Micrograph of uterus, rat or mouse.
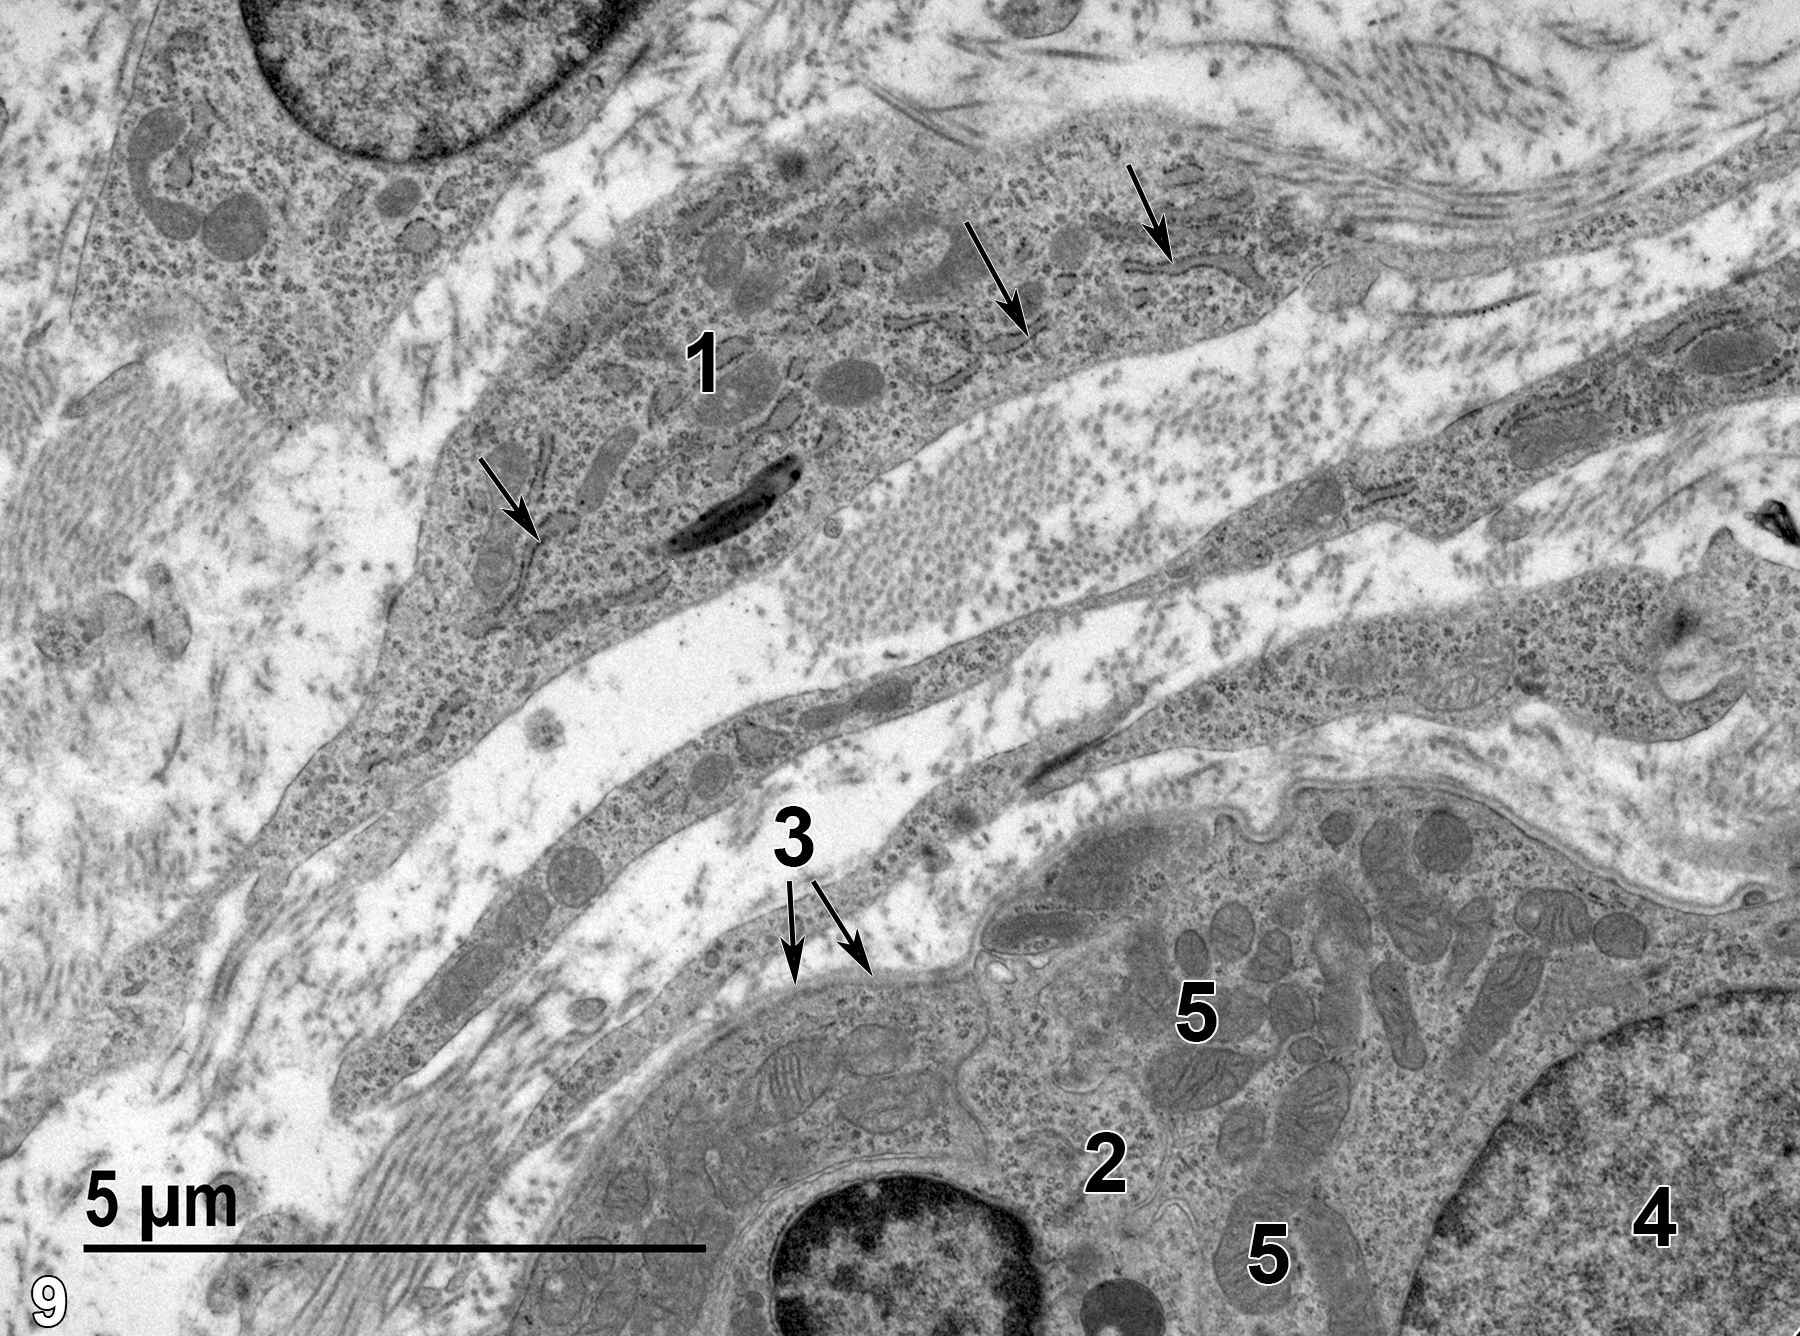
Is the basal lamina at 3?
Yes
